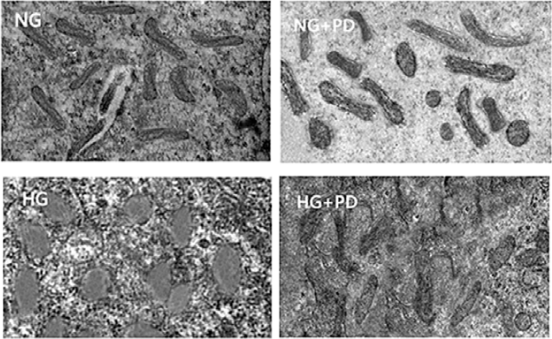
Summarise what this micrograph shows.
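In the upper two and the lower-right images the mitochondria are mostly elongated rods, some curved or branched, with a dense matrix and faint transverse cristae, lying scattered in a granular cytoplasm. In the upper-right image a few of the mitochondria are short or round among the rods. In the lower-left image the mitochondria are nearly all short, round to oval profiles of fairly even gray density with little visible internal structure, crowded in a coarsely granular cytoplasm, consistent with a fragmented mitochondrial network.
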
